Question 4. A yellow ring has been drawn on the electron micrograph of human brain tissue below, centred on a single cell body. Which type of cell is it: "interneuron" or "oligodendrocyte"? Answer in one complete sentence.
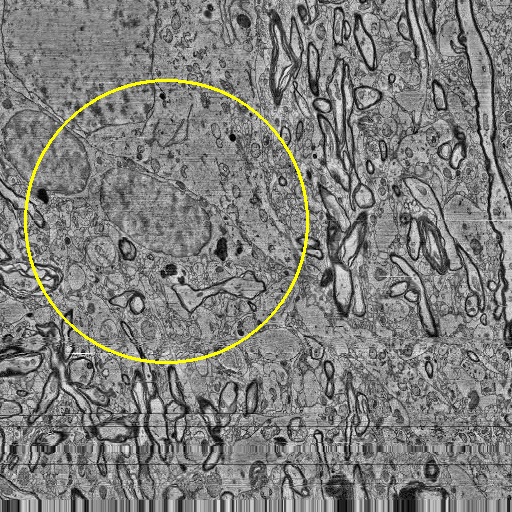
This cell body belongs to an oligodendrocyte.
